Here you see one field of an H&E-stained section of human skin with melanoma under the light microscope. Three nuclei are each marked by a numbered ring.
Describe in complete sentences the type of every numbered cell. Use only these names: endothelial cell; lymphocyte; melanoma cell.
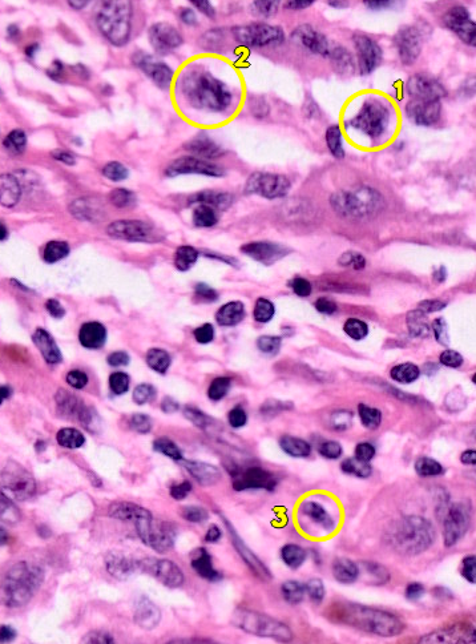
Cells 1 and 2 are melanoma cells. Cell 3 is a lymphocyte.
